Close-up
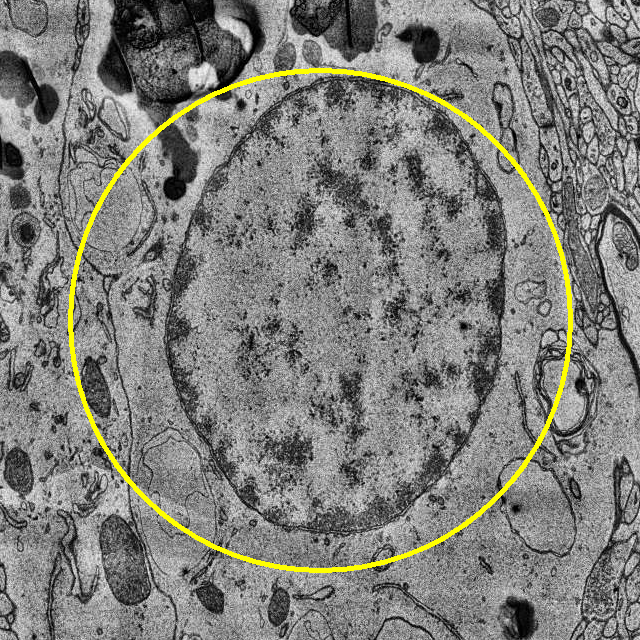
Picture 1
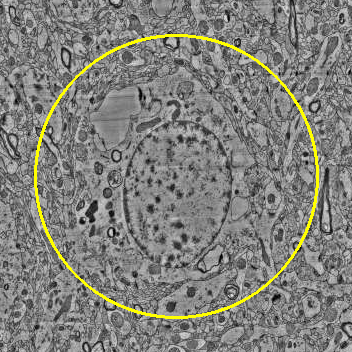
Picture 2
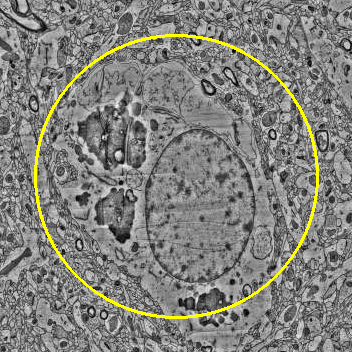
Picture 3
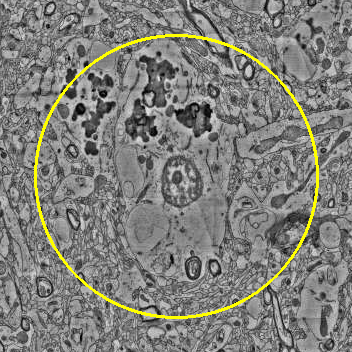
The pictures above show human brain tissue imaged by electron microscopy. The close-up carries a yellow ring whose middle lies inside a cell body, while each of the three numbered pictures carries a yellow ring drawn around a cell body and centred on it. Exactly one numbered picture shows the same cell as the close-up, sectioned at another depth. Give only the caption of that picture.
Picture 3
